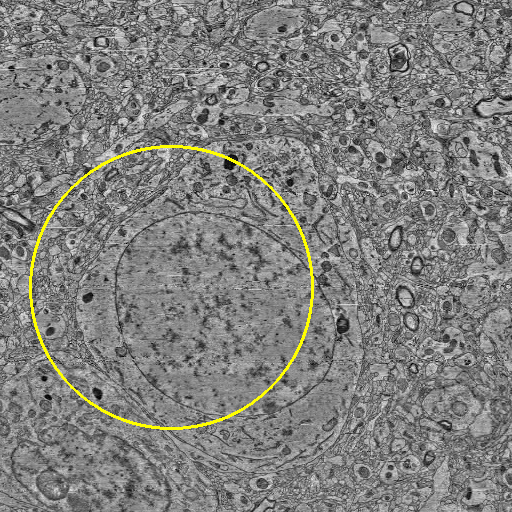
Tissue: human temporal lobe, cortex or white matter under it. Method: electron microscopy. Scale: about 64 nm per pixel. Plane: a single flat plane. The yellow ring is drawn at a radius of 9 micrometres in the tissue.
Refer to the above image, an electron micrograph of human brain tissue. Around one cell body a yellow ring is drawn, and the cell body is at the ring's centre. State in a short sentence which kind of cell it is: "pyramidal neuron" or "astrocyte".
The centre of the ring falls on a pyramidal neuron.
